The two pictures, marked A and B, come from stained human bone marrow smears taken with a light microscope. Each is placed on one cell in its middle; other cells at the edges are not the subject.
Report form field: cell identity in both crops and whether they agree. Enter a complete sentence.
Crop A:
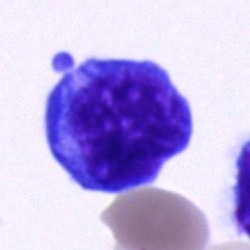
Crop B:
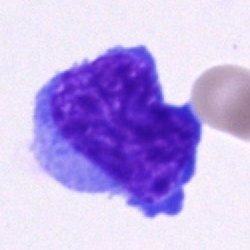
Yes, that is right, both crops show blasts.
